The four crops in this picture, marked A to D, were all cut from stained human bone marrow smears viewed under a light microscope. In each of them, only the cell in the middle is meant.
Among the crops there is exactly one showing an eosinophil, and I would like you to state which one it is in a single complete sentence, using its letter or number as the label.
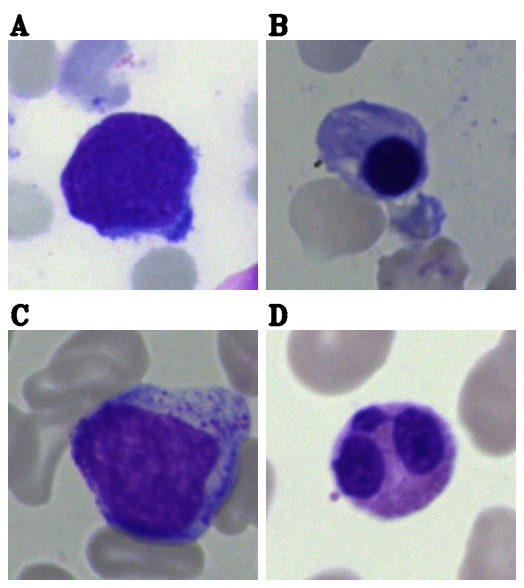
It is in crop D, among all the crops, that an eosinophil is present.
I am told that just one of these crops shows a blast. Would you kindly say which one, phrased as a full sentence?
In the set of crops, crop A is the one that contains a blast.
